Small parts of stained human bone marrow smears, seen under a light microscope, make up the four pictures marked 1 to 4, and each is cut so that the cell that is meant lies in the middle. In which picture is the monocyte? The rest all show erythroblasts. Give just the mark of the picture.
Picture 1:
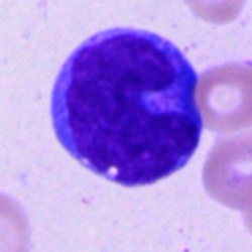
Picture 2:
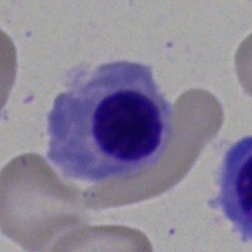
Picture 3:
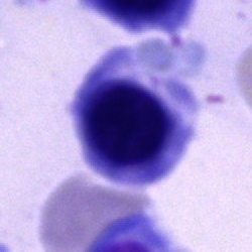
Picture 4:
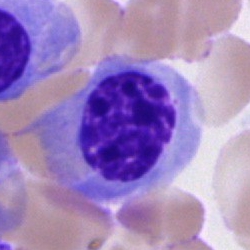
1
